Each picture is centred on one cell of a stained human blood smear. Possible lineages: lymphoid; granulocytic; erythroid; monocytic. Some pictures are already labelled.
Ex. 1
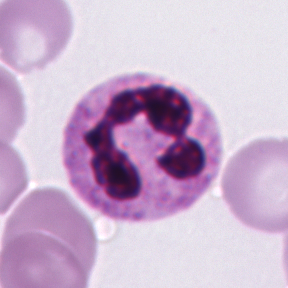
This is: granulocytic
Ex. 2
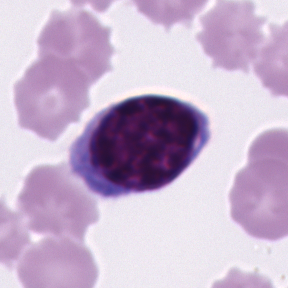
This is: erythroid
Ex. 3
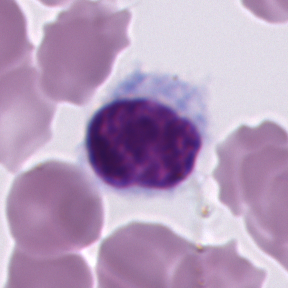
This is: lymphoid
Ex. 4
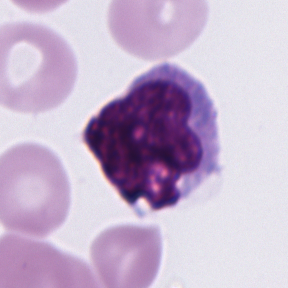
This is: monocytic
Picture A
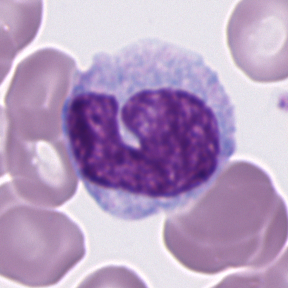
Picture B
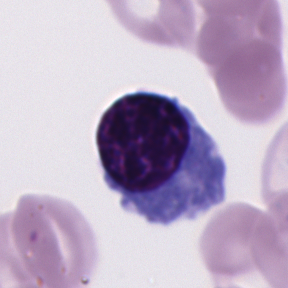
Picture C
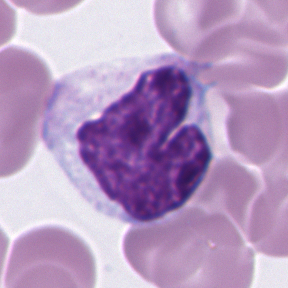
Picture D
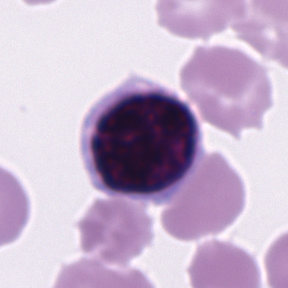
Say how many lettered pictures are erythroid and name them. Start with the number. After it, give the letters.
2: B, D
